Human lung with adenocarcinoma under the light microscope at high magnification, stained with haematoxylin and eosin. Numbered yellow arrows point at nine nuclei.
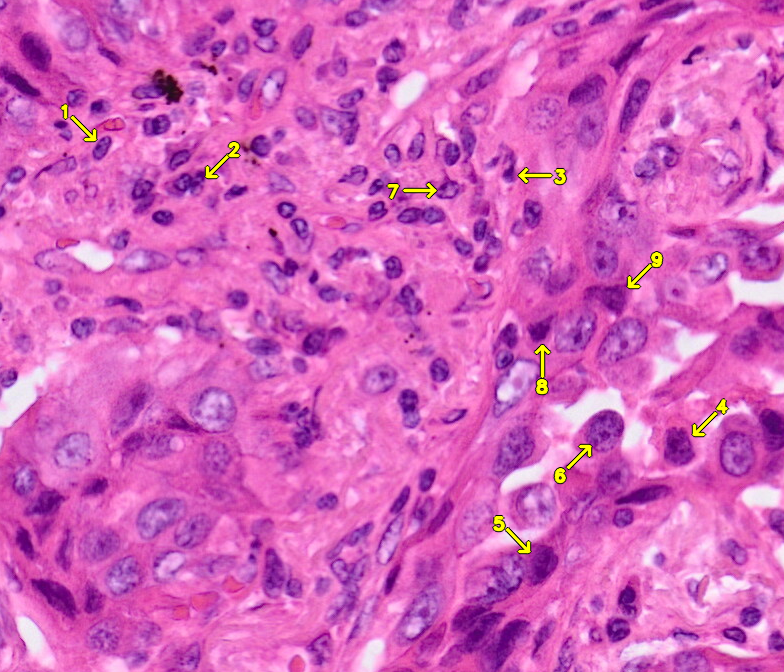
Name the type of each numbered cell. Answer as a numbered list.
1. lymphocyte
2. plasma cell
3. lymphocyte
4. carcinoma cell
5. carcinoma cell
6. carcinoma cell
7. plasma cell
8. carcinoma cell
9. carcinoma cell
